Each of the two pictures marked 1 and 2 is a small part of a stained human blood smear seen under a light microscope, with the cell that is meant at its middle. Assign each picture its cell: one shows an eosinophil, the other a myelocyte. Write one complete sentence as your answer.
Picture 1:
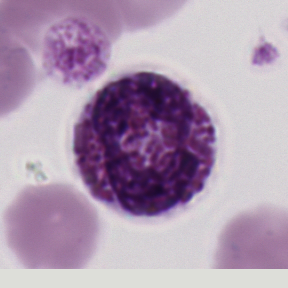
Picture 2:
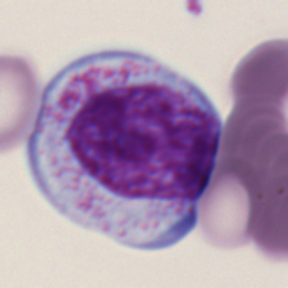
Picture 1 shows an eosinophil and picture 2 shows a myelocyte.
